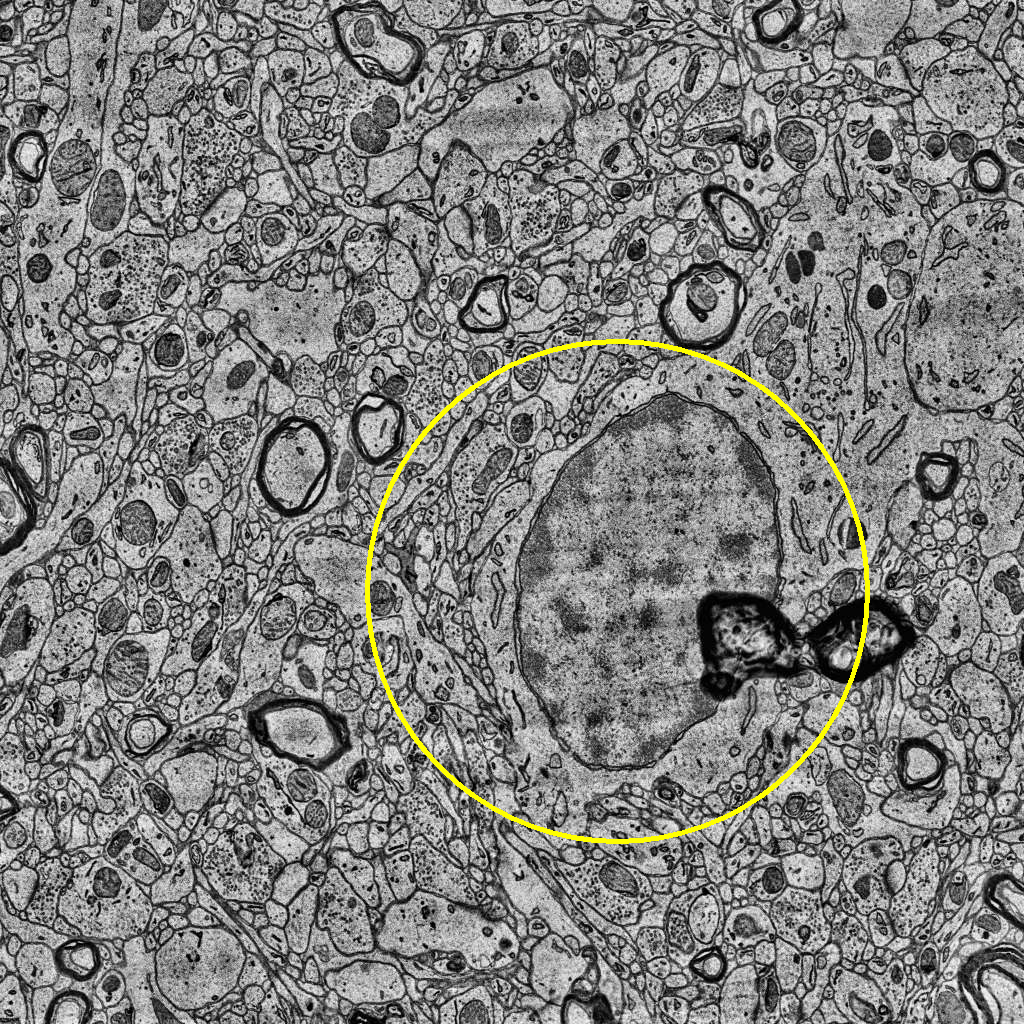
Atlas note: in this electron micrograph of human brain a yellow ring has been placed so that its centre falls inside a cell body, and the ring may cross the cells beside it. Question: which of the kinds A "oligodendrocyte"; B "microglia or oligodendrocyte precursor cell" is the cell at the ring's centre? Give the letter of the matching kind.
B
